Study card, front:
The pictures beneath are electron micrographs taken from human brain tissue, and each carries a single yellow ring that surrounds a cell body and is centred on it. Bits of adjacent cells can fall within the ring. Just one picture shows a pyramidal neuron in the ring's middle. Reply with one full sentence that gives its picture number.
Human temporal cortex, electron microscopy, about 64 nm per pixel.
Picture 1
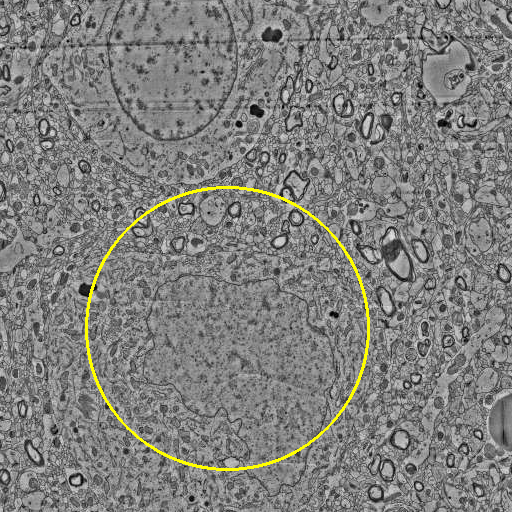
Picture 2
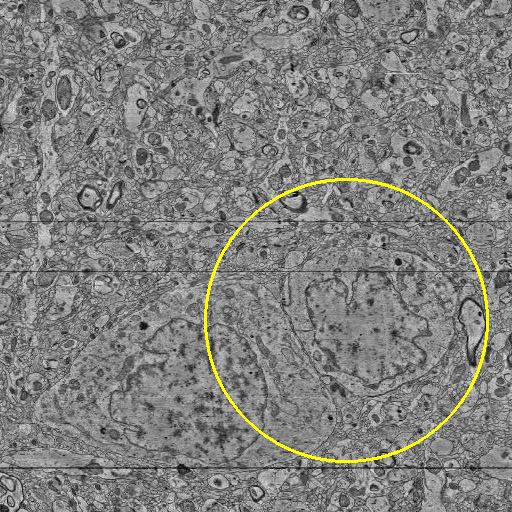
Picture 1 is the one whose ring has the requested cell at its centre.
